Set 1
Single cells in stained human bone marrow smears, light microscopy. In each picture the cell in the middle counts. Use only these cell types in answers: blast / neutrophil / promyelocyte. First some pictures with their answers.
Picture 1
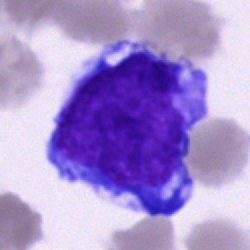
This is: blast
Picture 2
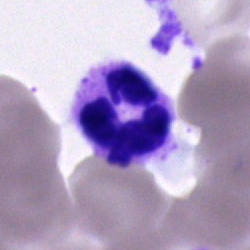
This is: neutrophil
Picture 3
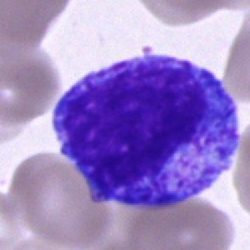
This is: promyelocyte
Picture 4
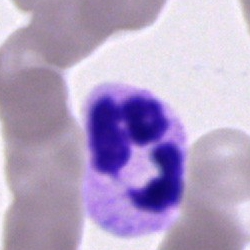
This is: neutrophil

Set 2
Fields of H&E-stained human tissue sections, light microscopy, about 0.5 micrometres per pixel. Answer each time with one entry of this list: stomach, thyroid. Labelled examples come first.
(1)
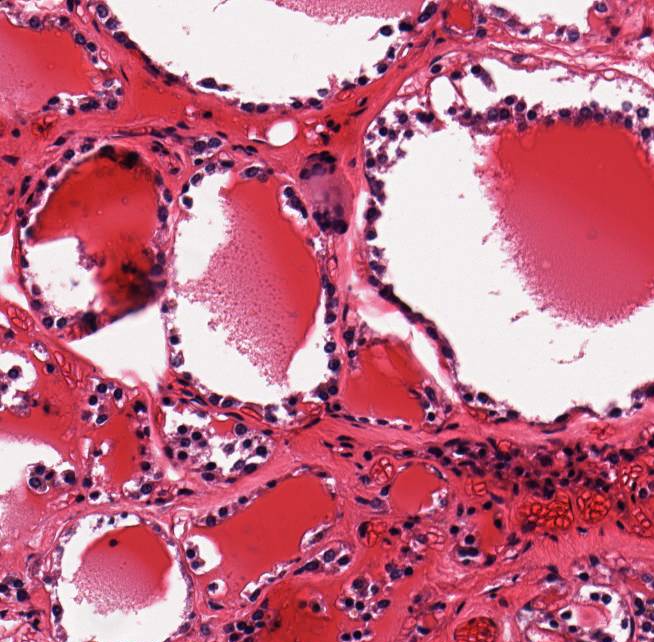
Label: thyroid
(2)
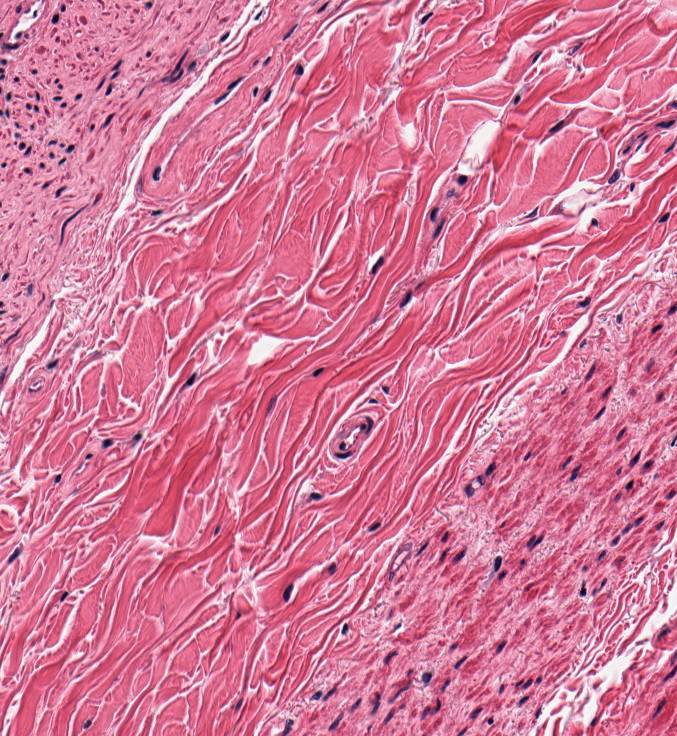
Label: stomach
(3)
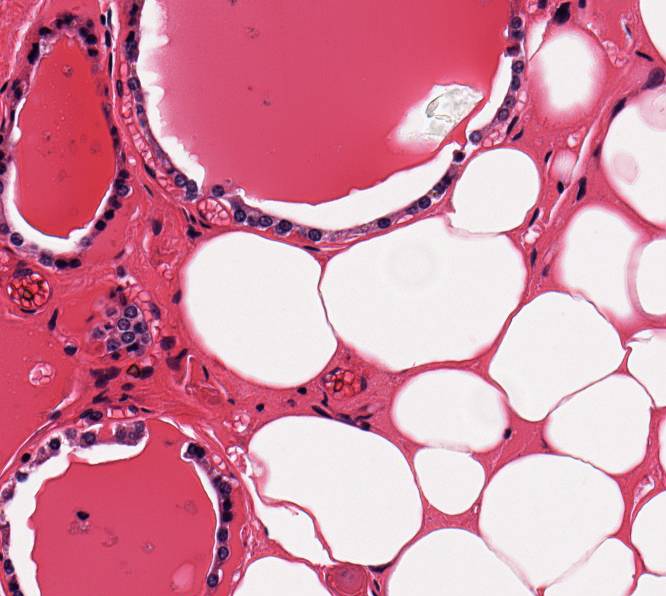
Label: thyroid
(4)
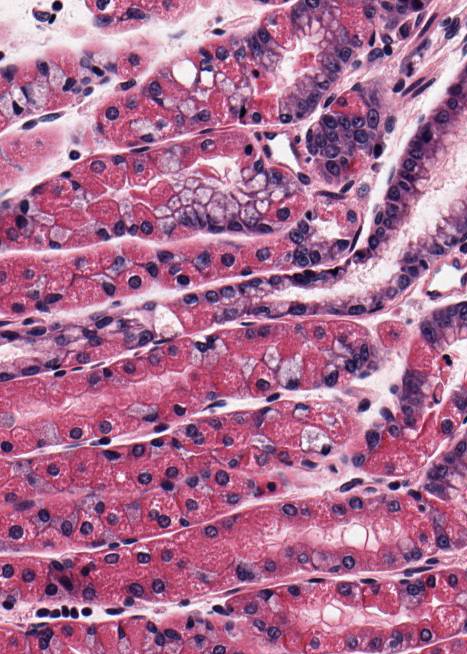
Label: stomach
